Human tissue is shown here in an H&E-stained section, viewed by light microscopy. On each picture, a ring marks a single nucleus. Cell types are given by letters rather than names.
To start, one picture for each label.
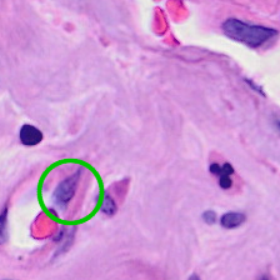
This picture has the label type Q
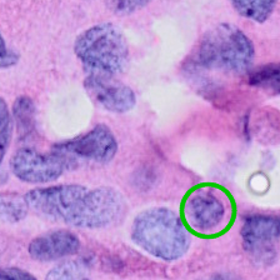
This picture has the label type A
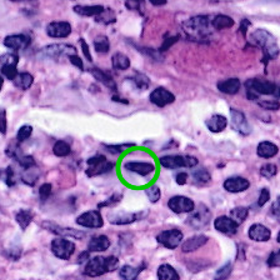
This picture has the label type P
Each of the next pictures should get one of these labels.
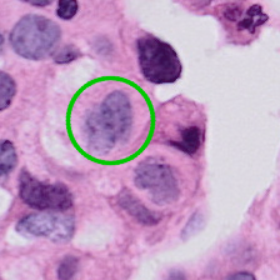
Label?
type A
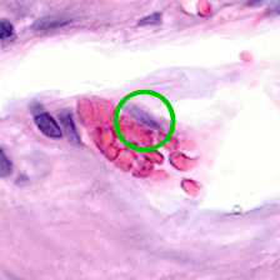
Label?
type Q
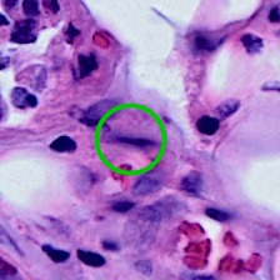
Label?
type Q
